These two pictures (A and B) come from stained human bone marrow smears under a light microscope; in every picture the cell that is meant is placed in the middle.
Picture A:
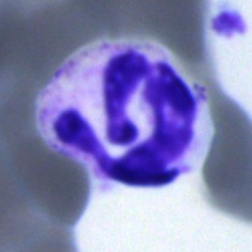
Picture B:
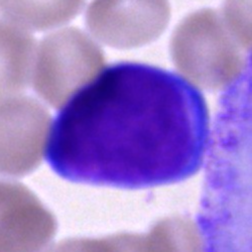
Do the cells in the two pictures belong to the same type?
no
